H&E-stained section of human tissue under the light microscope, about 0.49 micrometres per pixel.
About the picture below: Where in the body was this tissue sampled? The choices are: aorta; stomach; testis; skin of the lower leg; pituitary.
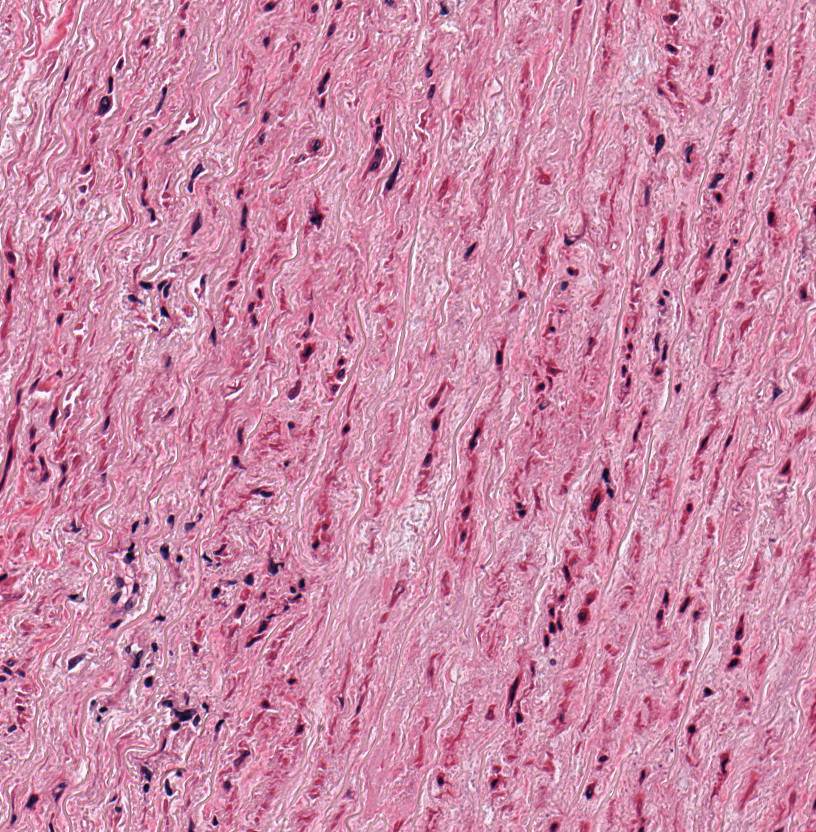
aorta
